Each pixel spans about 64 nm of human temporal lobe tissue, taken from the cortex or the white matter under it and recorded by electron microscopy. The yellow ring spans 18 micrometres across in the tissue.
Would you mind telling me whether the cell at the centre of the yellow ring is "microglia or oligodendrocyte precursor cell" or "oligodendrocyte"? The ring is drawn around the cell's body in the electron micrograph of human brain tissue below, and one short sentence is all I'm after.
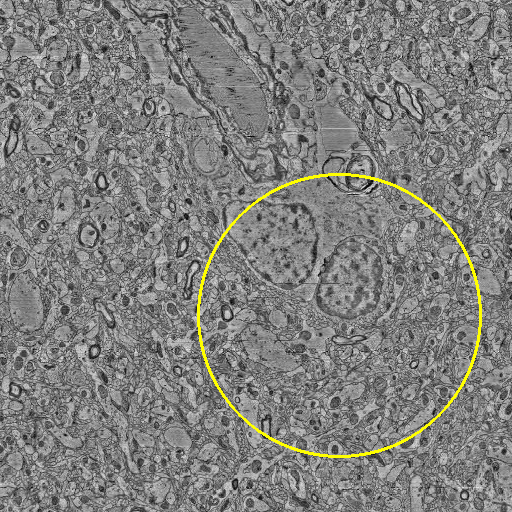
In the centre of the ring lies an oligodendrocyte.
